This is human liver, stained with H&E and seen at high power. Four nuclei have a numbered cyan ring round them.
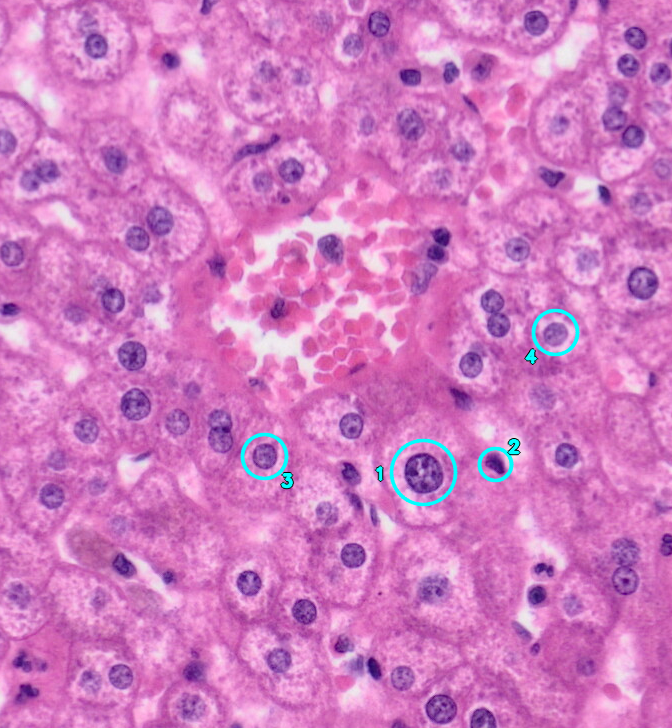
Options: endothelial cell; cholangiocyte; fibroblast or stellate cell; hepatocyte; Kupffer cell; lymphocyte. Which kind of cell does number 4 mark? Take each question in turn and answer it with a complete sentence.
Identified by the number 4, the cell is a hepatocyte.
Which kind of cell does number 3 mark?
The nucleus labelled 3 belongs to a hepatocyte.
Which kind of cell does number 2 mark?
The nucleus labelled 2 belongs to a fibroblast or stellate cell.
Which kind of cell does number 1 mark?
The cell indicated with the number 1 is classed as a hepatocyte.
